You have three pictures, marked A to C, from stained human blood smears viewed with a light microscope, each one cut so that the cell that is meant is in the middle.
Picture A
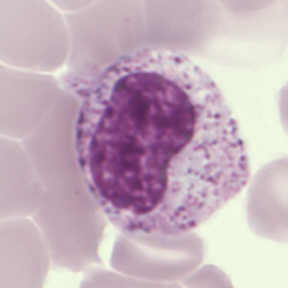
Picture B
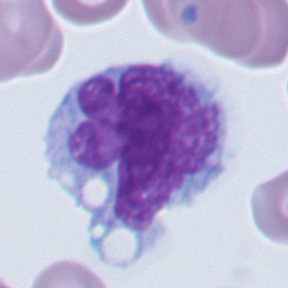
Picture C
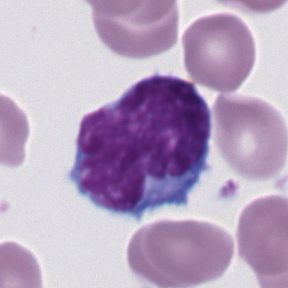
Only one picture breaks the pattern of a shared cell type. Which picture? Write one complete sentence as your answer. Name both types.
Unlike the rest, which show monocytes, picture A shows a metamyelocyte.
